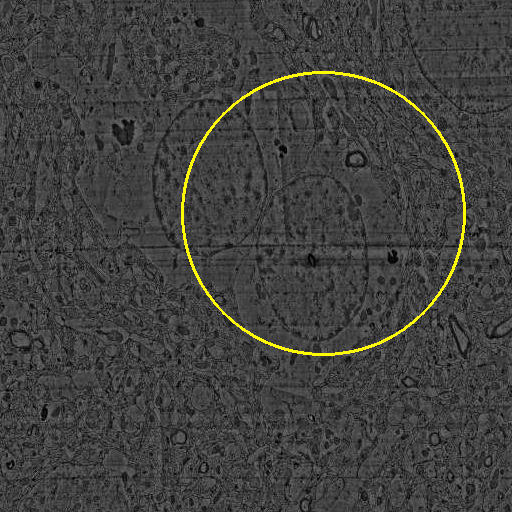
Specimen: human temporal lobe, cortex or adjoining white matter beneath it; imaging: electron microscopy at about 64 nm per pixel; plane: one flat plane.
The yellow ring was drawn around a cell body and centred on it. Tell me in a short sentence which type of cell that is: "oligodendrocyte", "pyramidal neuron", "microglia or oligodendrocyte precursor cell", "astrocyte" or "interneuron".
The cell at the ring's centre is an astrocyte.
